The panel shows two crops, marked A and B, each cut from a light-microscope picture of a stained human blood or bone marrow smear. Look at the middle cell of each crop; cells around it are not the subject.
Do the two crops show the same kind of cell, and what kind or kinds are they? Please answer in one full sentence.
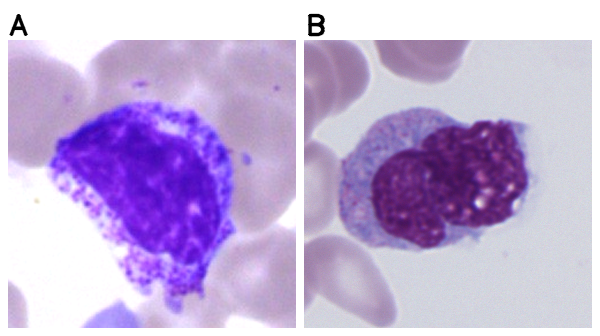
No, the cell shown in crop A is a myelocyte, and the cell shown in crop B is a monocyte.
